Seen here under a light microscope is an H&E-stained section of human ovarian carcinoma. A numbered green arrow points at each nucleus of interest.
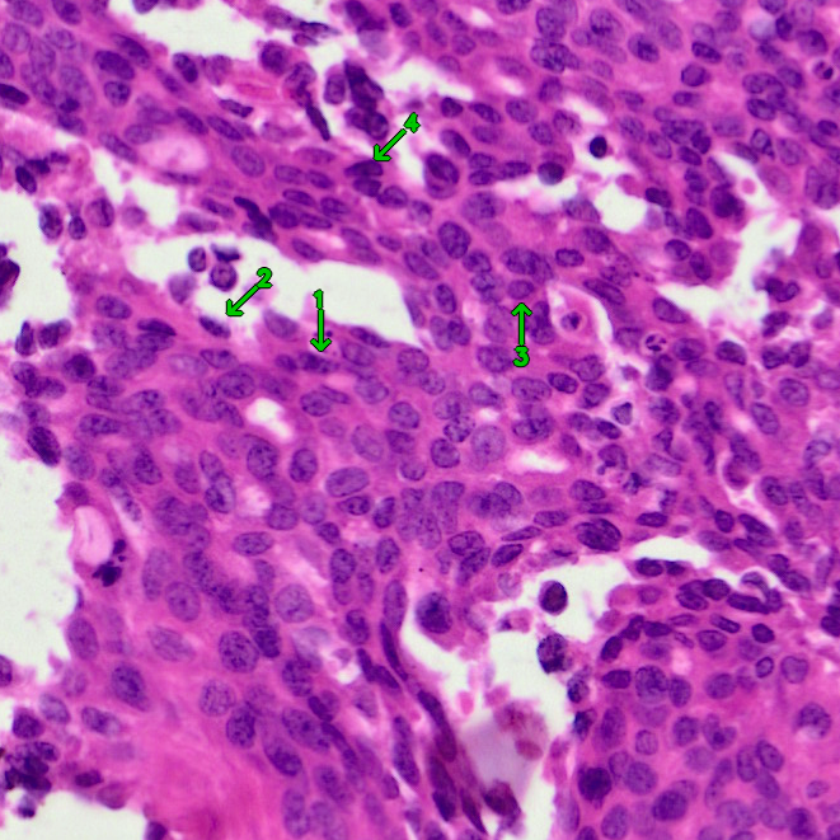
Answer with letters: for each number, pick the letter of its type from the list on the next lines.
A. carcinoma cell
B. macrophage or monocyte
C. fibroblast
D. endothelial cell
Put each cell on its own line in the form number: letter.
1: A
2: B
3: A
4: A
